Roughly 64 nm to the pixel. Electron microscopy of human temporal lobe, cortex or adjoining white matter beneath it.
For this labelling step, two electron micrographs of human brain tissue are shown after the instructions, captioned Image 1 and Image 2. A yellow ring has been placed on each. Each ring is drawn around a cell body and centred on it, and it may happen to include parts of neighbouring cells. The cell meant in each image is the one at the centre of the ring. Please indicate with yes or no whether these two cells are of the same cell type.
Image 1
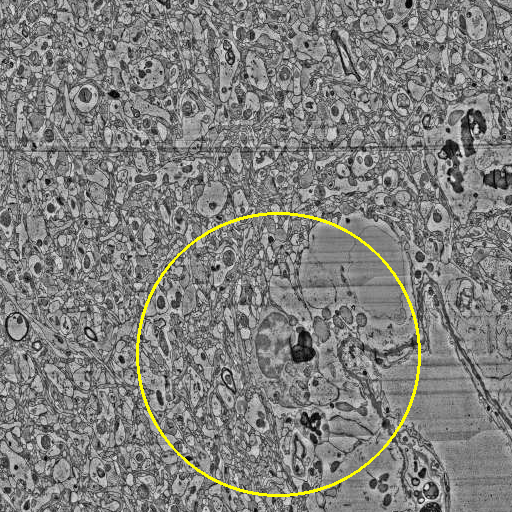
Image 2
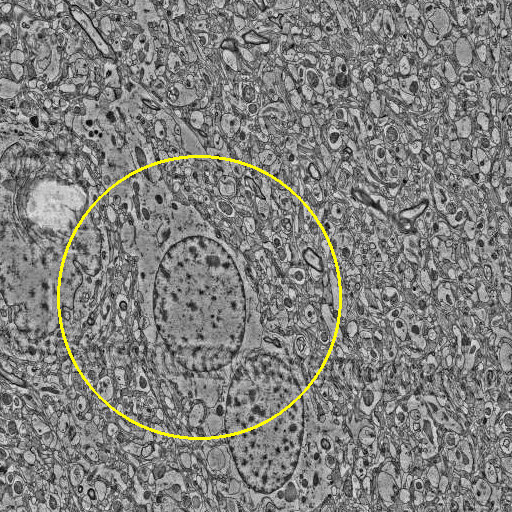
no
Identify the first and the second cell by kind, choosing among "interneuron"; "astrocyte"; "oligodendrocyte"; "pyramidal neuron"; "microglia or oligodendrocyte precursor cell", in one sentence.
The one in the first picture is an oligodendrocyte, while the one in the second is an astrocyte.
